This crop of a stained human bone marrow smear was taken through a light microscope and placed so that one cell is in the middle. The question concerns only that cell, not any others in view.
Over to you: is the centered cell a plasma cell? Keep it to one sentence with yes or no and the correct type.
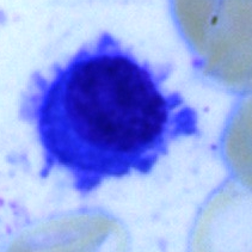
Yes, in the centre of this field sits a plasma cell.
